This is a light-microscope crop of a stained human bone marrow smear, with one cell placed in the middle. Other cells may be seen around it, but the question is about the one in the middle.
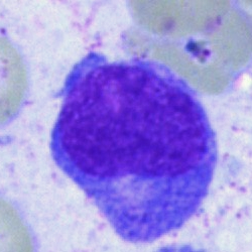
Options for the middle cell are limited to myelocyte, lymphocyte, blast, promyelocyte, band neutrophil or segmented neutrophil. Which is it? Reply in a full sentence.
Whatever else lies nearby, the middle cell is a promyelocyte.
